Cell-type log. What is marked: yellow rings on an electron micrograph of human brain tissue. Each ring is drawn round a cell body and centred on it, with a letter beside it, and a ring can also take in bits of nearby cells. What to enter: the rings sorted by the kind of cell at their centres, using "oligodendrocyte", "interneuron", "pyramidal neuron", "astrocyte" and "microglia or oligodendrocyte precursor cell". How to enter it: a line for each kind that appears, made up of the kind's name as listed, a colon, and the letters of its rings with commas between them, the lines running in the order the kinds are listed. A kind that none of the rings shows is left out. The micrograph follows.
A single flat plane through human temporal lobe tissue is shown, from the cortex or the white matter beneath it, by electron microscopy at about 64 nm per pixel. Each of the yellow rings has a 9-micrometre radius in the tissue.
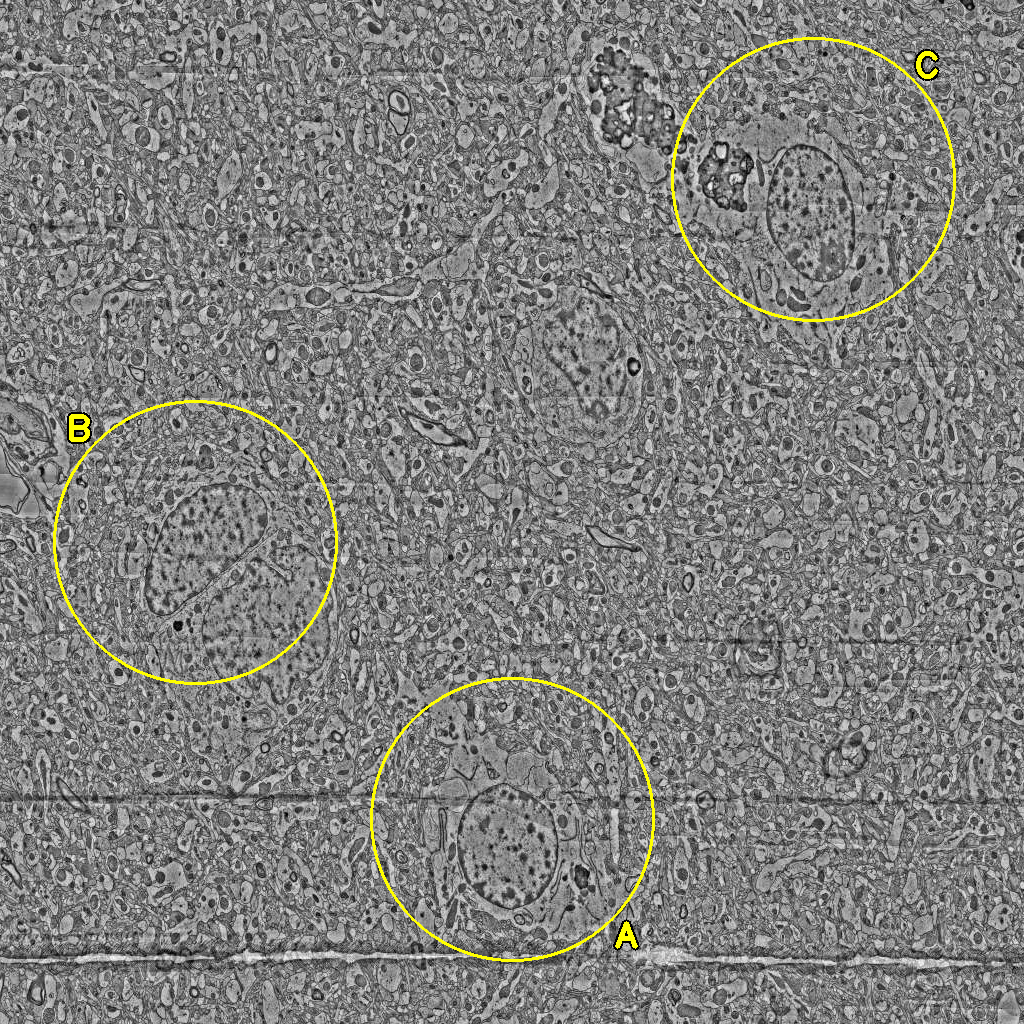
astrocyte: A, C
microglia or oligodendrocyte precursor cell: B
